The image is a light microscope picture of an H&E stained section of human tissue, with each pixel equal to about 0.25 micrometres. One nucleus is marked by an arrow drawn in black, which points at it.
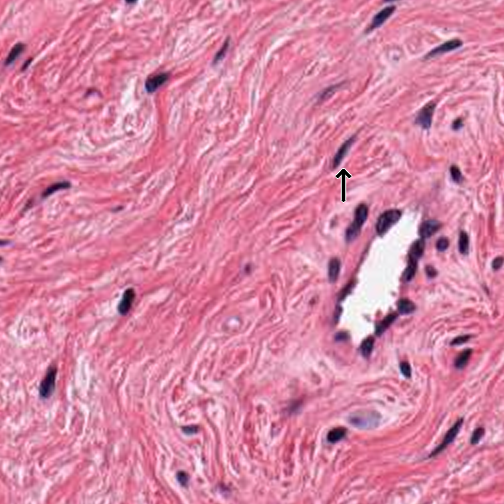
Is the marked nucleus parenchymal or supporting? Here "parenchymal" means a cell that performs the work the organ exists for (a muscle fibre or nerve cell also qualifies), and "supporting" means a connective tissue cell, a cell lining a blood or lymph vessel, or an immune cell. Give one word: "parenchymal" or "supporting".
supporting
